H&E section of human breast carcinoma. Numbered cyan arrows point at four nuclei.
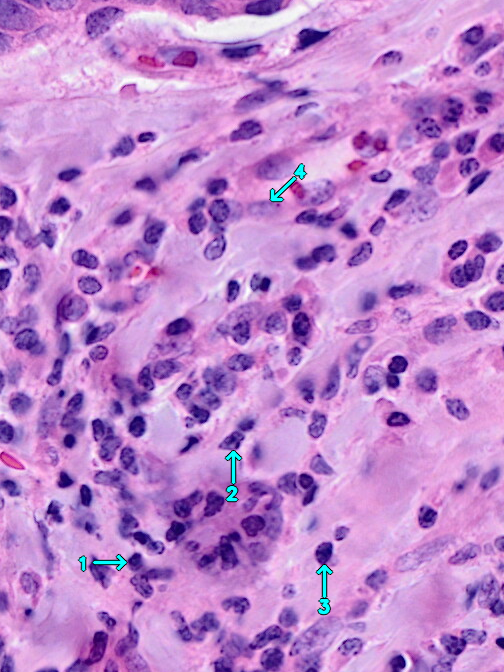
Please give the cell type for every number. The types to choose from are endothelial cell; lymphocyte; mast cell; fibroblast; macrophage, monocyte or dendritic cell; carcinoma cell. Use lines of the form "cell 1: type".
cell 1: lymphocyte
cell 2: lymphocyte
cell 3: lymphocyte
cell 4: endothelial cell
